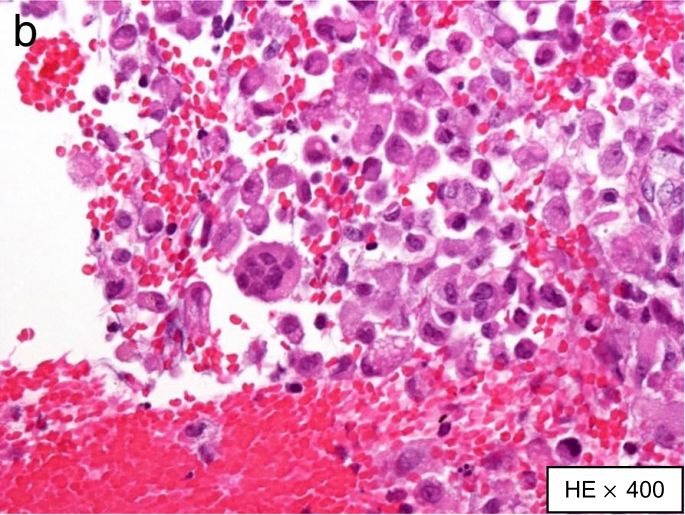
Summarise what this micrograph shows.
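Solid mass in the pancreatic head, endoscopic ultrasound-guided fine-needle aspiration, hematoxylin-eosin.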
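The aspirate contains loosely arranged pleomorphic large atypical cells scattered among abundant red blood cells. The cells have ample pink to purple cytoplasm and nuclei that differ strongly in size and shape. A dense layer of blood fills the lower left part of the field.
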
